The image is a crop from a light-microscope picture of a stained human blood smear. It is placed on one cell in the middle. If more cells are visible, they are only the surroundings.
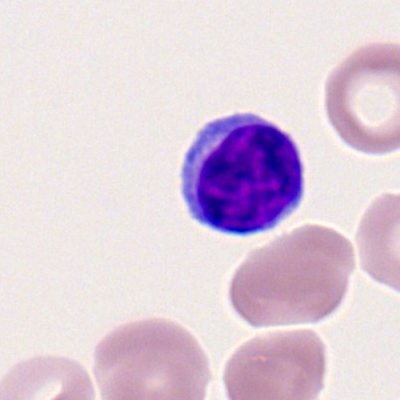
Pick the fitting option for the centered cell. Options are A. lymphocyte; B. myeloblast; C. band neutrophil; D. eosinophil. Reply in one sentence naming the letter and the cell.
Well, the cell in the middle is a lymphocyte, making option A right.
